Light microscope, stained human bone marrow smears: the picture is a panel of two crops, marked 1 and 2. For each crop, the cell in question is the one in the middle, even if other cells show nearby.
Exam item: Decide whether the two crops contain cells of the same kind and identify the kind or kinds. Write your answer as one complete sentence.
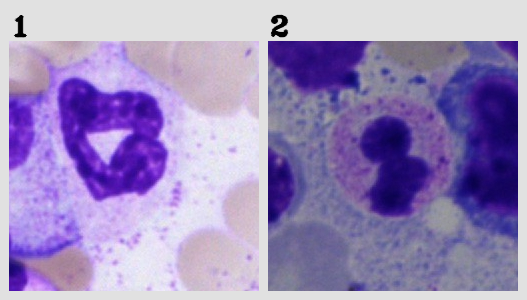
Yes, both crops show a cell each, and these are segmented neutrophils.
